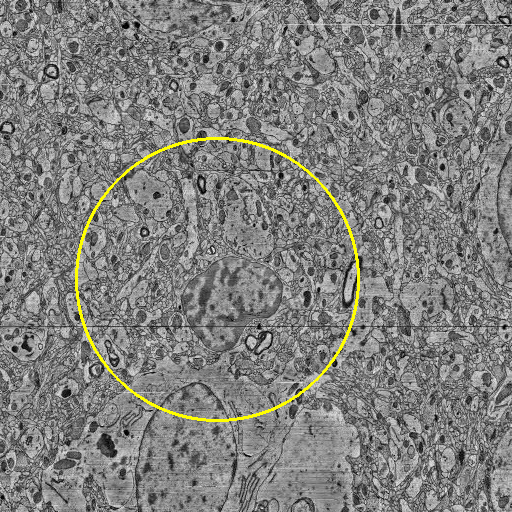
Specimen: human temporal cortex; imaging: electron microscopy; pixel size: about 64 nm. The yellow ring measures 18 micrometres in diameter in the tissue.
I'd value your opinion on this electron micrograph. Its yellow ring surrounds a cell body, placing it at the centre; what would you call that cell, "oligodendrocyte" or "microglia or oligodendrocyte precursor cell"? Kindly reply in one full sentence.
It is a microglial cell or oligodendrocyte precursor cell that sits centred within the yellow ring in this micrograph.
